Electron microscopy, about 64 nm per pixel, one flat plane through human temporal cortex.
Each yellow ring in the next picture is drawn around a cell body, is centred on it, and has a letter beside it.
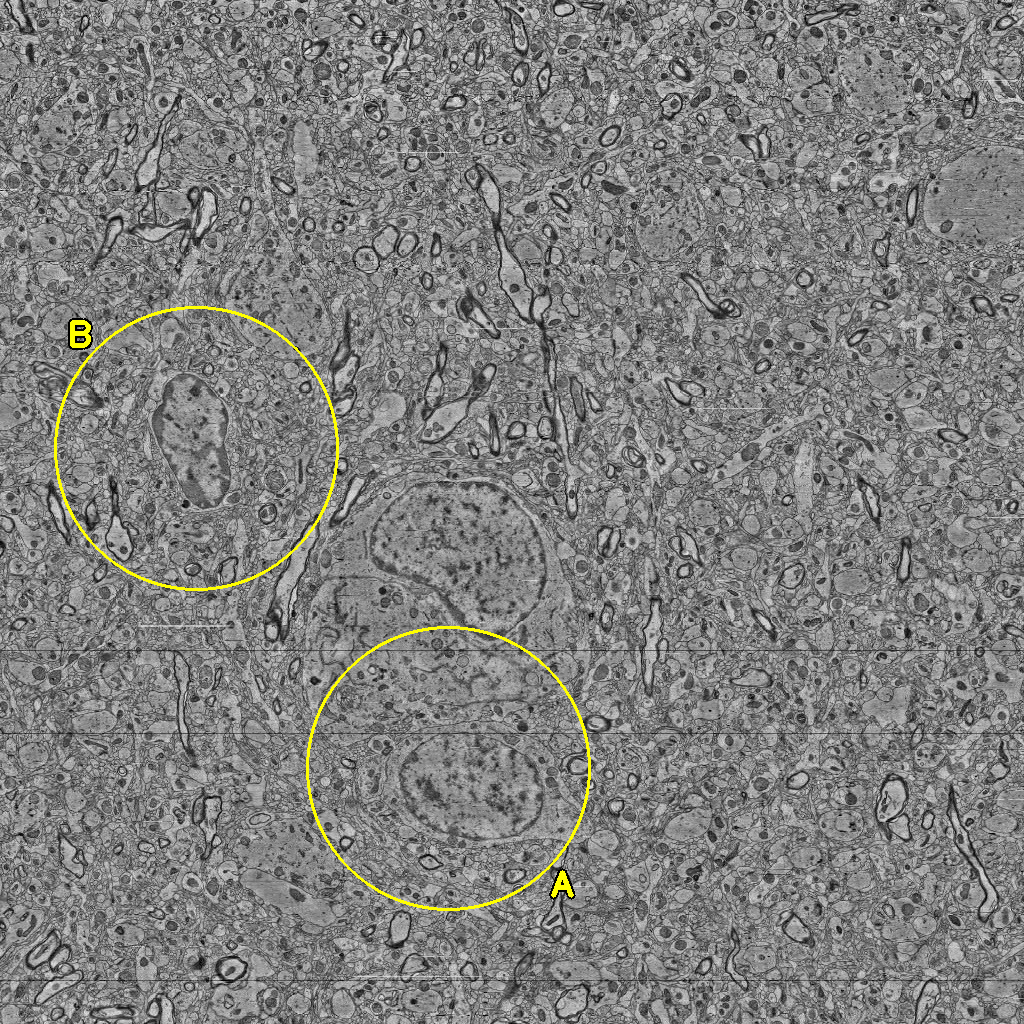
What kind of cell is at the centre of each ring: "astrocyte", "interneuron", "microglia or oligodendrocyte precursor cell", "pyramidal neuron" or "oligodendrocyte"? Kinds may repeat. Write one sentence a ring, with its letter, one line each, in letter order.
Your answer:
The centre of ring A falls on an interneuron.
The centre of ring B falls on a microglial cell or oligodendrocyte precursor cell.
